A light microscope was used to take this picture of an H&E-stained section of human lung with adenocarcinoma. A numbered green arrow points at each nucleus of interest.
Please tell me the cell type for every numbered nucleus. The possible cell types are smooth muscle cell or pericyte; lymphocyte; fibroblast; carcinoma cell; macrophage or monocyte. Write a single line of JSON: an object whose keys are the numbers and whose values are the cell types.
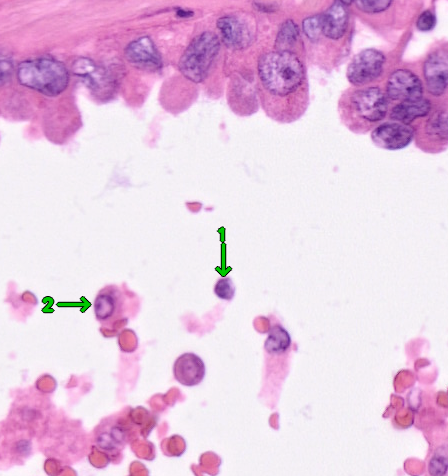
{"1": "lymphocyte", "2": "macrophage or monocyte"}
